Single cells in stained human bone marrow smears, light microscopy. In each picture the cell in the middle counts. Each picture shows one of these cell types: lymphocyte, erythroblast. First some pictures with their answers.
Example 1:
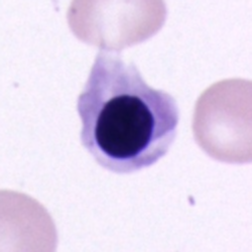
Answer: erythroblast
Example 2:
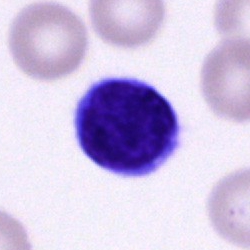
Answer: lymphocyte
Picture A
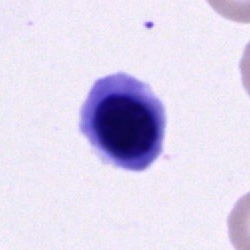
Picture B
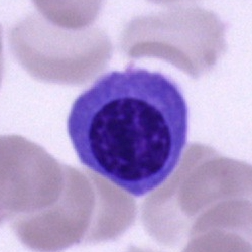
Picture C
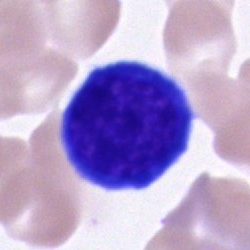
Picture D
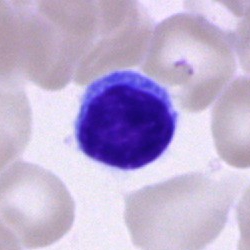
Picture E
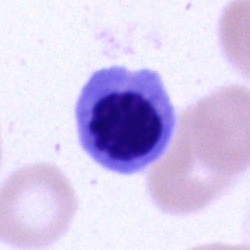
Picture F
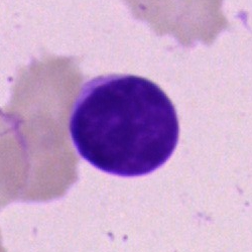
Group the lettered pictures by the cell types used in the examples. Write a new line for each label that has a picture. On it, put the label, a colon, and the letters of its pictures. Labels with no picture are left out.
lymphocyte: D, F
erythroblast: A, B, C, E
